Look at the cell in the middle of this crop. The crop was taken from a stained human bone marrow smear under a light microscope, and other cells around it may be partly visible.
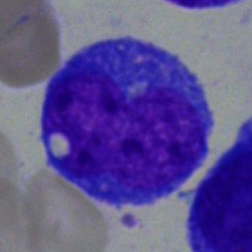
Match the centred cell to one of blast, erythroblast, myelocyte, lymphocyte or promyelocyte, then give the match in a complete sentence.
As for the central cell, it is a blast.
